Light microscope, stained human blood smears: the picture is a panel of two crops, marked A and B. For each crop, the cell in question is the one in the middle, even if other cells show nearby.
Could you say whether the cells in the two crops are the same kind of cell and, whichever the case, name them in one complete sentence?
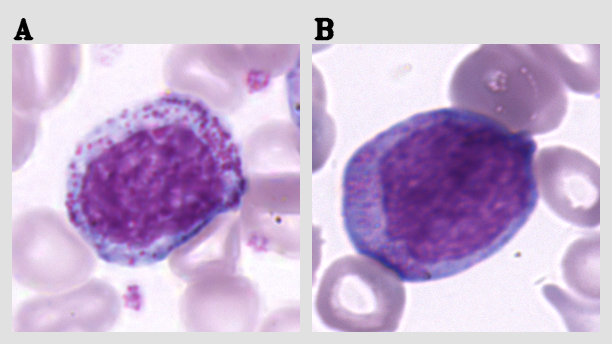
Yes, both the first crop and the second crop show promyelocytes.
